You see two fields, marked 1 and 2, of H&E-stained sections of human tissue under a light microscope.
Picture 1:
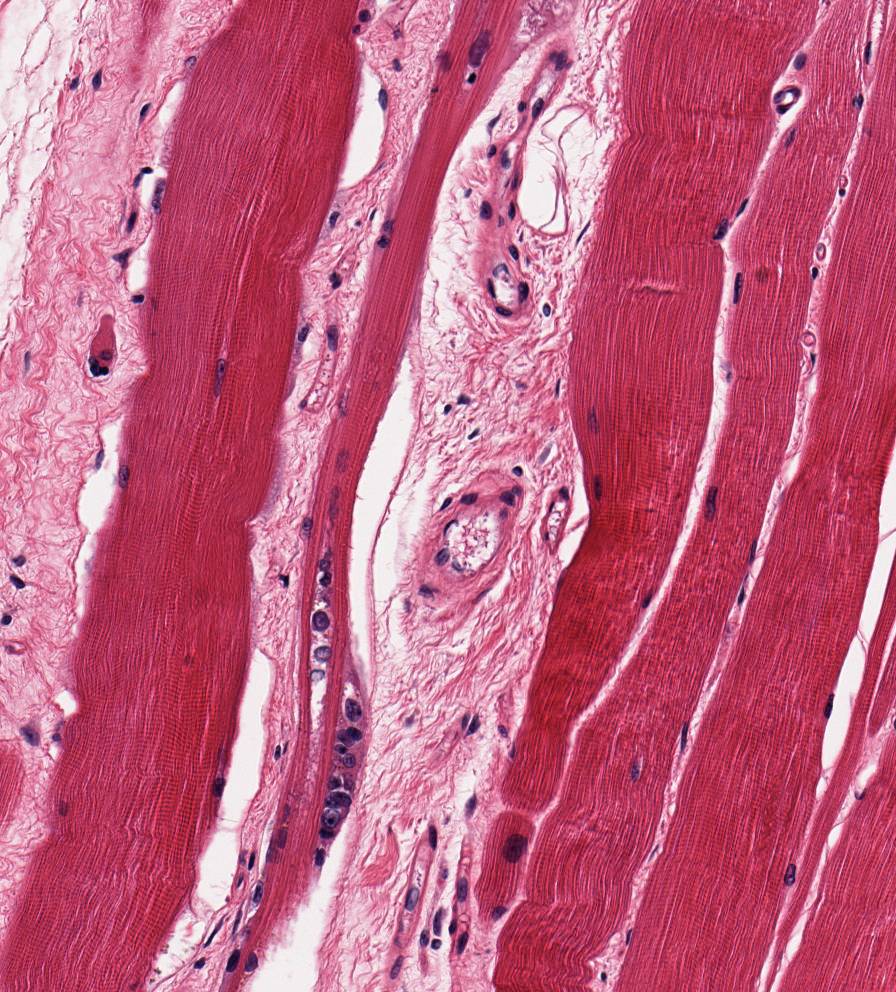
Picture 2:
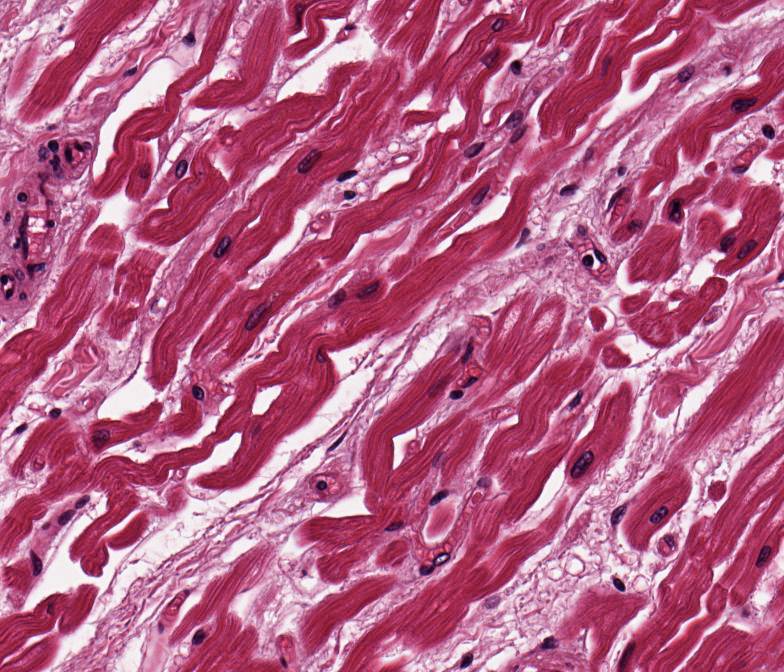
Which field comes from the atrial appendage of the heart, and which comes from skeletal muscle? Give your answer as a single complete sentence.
It is picture 1 that comes from skeletal muscle, and picture 2 that comes from the atrial appendage of the heart.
